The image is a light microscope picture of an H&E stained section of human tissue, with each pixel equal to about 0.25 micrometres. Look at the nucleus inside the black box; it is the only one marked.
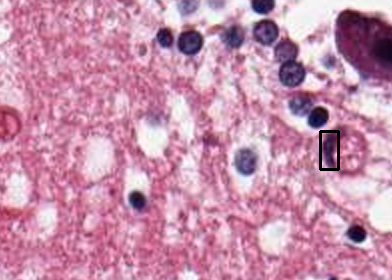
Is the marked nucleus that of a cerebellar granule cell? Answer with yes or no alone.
no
